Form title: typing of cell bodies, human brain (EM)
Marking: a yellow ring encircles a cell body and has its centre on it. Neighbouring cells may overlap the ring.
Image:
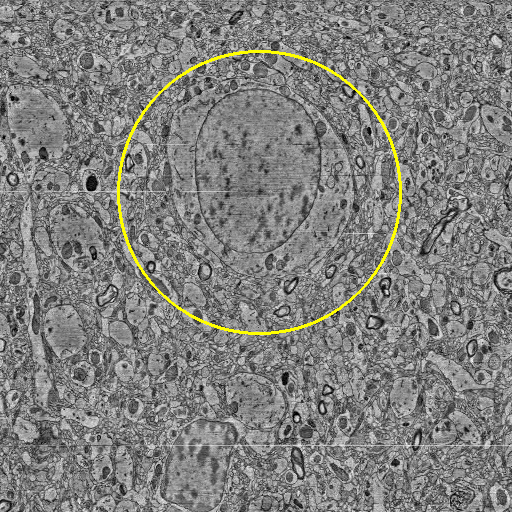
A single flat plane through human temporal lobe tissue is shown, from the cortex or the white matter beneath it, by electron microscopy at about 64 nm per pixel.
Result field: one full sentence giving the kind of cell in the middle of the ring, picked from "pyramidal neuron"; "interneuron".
In the picture, the ring is centred on a pyramidal neuron, whose cell body it encircles.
